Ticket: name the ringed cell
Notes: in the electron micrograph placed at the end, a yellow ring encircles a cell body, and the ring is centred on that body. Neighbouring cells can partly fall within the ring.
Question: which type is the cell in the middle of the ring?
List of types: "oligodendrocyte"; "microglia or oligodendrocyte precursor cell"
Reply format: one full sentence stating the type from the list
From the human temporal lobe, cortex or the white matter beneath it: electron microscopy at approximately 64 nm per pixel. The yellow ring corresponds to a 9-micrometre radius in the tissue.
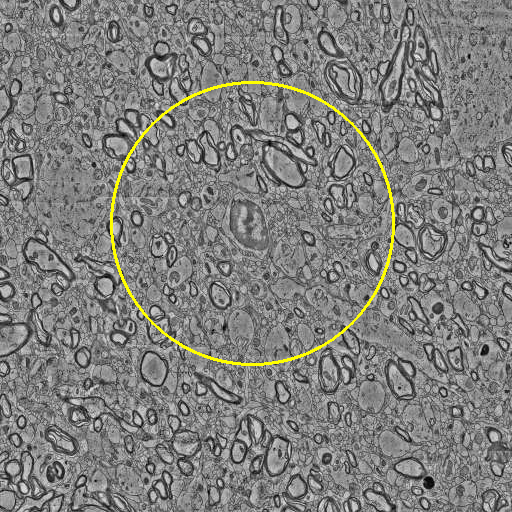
The cell sitting at the centre of the yellow ring is a microglial cell or oligodendrocyte precursor cell.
